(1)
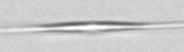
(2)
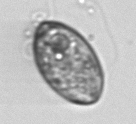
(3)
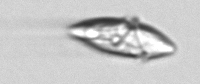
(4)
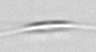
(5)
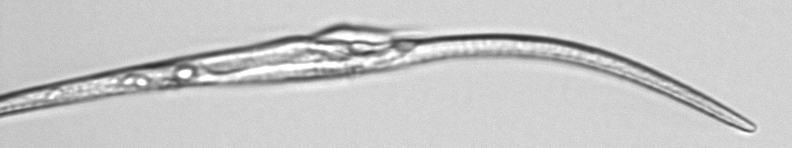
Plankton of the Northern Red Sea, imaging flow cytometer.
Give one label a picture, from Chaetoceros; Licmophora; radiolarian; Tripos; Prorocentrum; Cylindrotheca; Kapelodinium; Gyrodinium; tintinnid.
1: Cylindrotheca
2: Prorocentrum
3: Gyrodinium
4: Cylindrotheca
5: Tripos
